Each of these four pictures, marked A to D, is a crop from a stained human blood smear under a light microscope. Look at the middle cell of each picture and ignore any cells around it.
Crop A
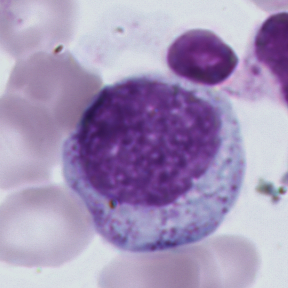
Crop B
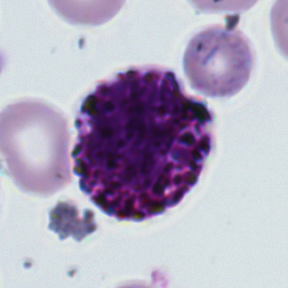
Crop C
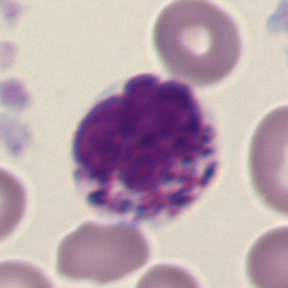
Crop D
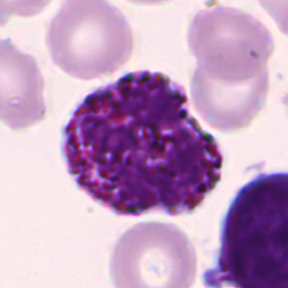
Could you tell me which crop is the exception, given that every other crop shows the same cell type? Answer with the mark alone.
A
